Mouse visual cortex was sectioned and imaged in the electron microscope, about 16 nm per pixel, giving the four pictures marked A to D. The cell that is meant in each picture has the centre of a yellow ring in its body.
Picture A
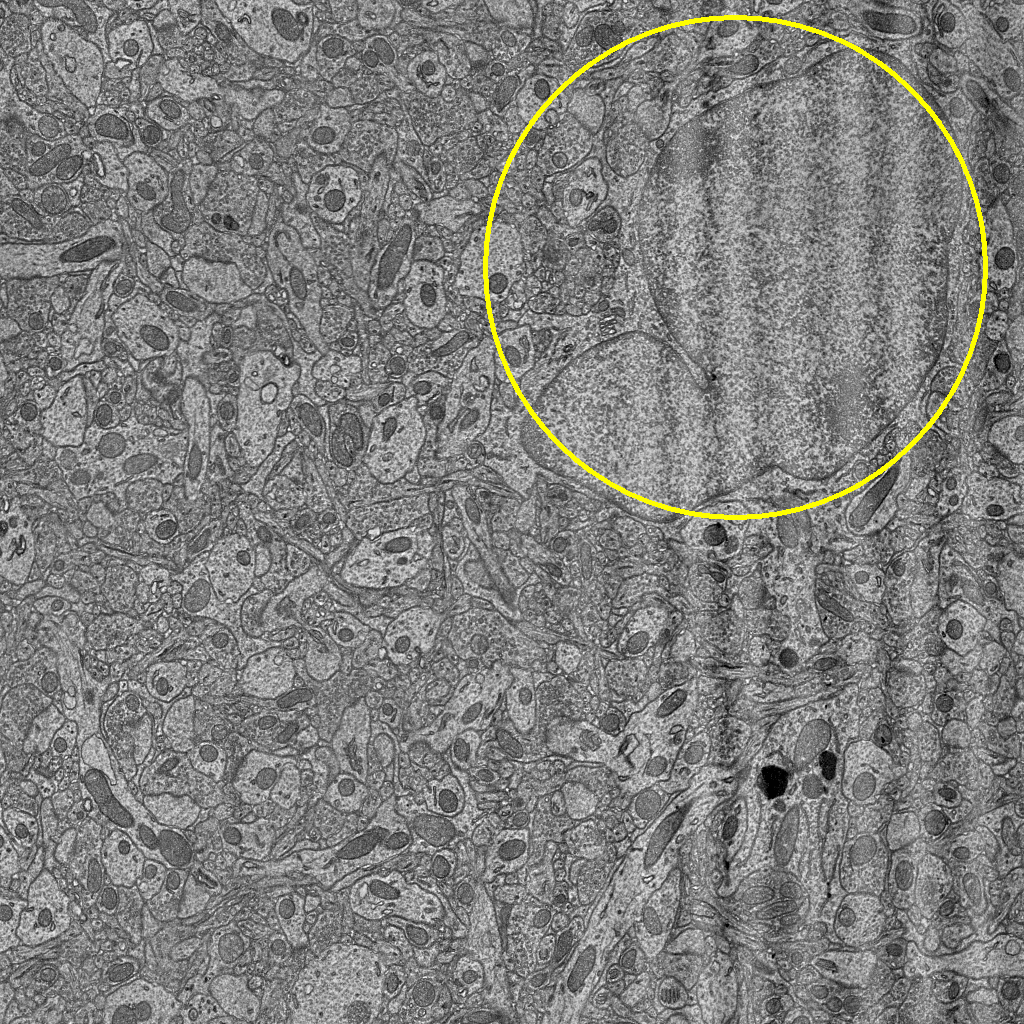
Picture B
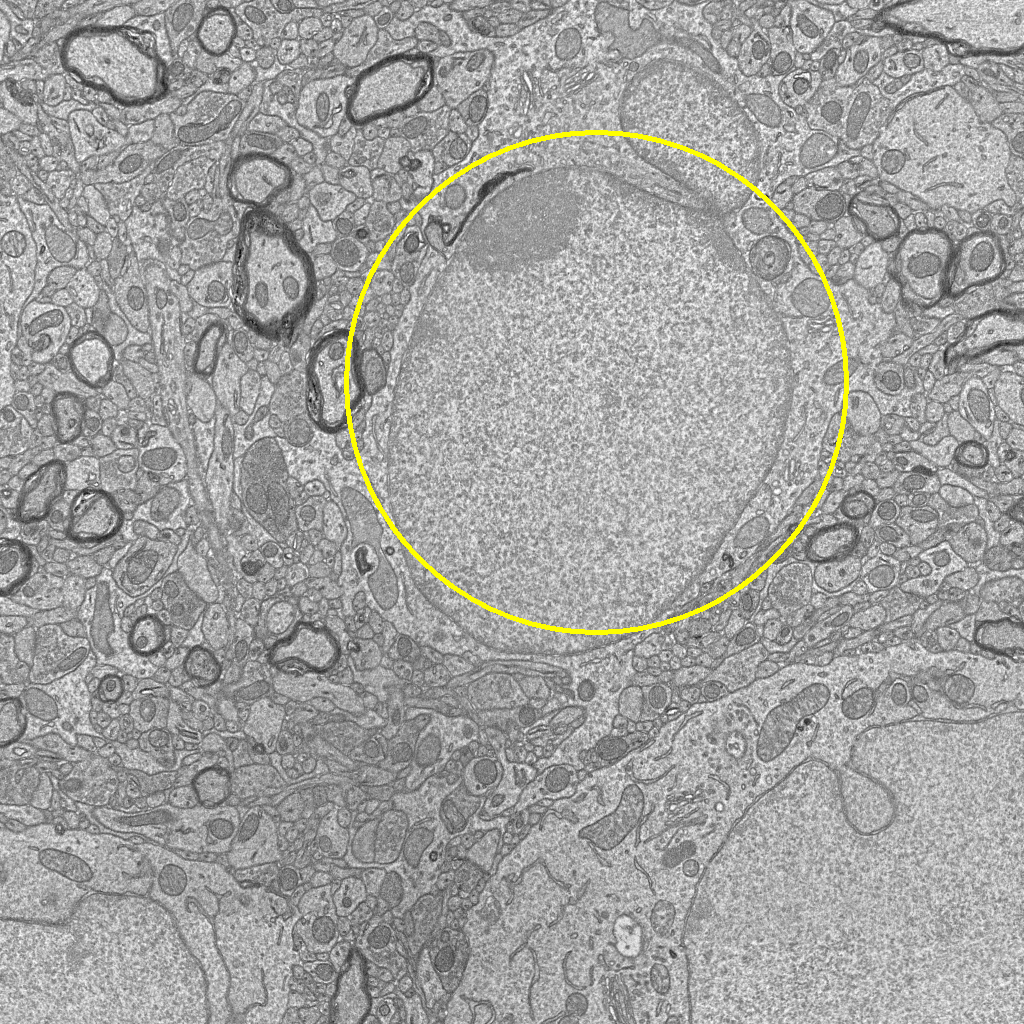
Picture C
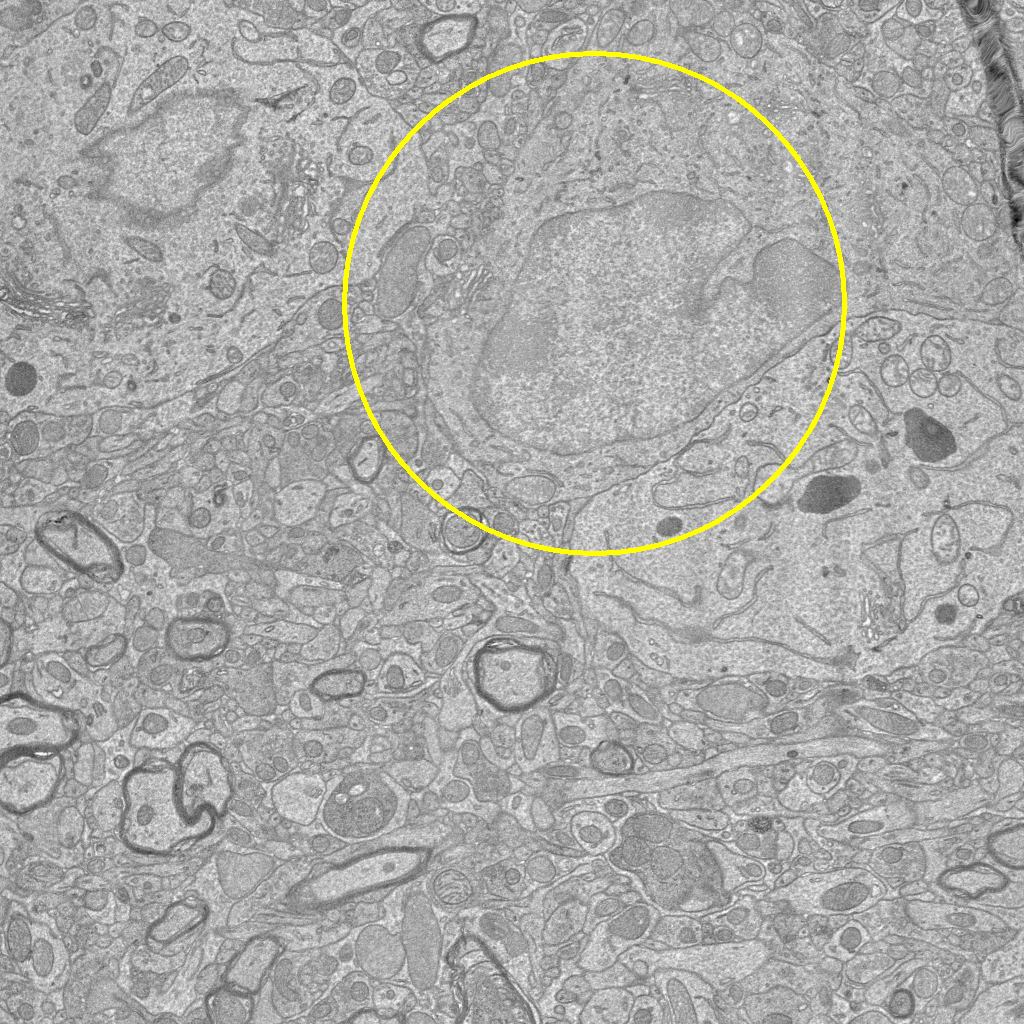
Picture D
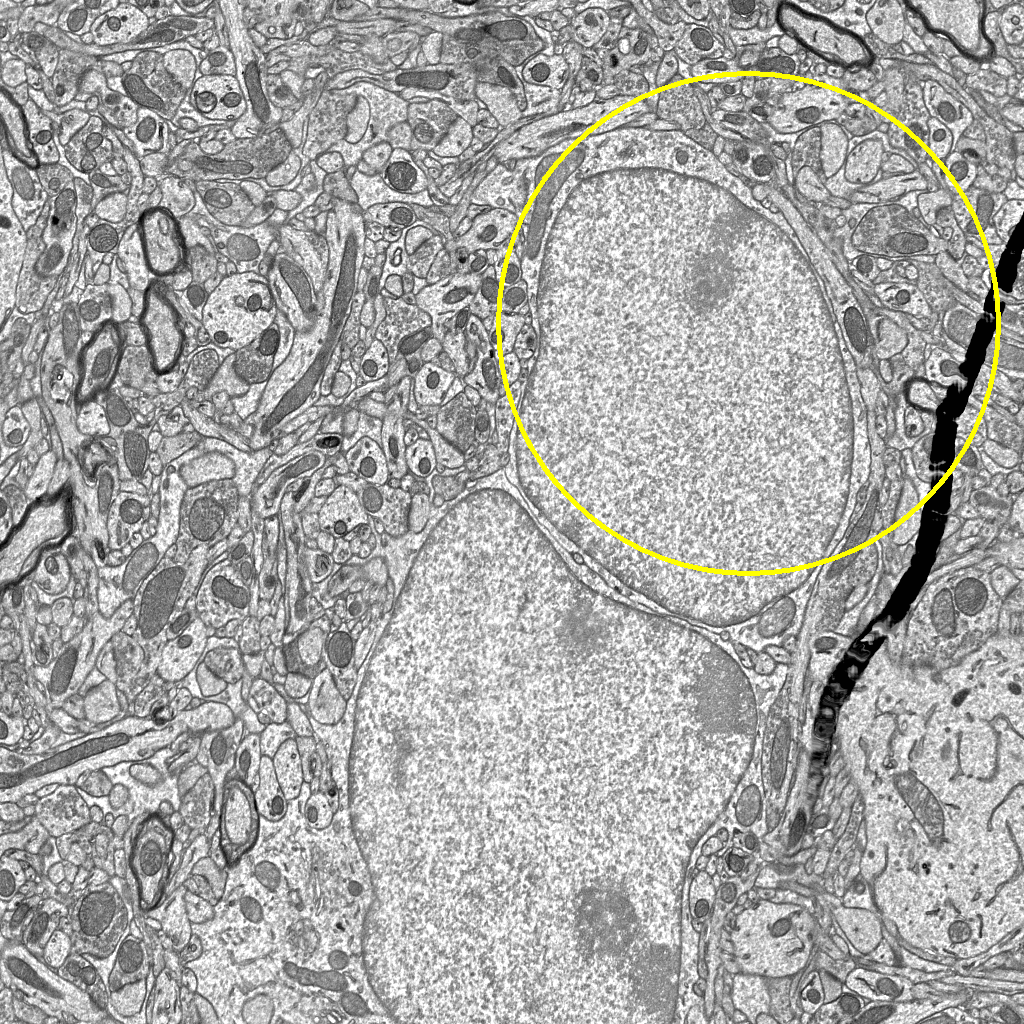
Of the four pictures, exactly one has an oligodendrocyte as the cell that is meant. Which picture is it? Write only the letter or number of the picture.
C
